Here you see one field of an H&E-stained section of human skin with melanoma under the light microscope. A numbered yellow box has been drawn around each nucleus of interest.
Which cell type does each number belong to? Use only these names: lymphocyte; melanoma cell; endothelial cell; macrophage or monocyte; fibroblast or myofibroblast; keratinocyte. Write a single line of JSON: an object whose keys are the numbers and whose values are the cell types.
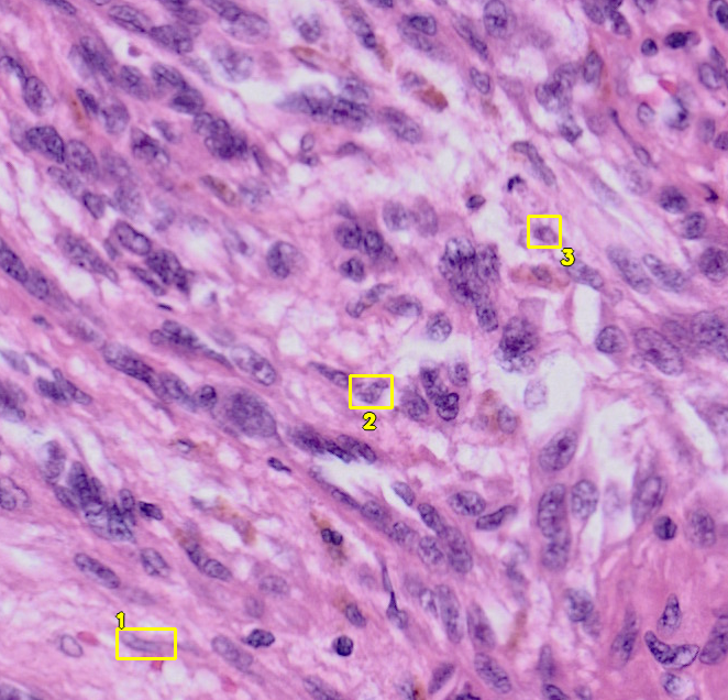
{"1": "fibroblast or myofibroblast", "2": "melanoma cell", "3": "melanoma cell"}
